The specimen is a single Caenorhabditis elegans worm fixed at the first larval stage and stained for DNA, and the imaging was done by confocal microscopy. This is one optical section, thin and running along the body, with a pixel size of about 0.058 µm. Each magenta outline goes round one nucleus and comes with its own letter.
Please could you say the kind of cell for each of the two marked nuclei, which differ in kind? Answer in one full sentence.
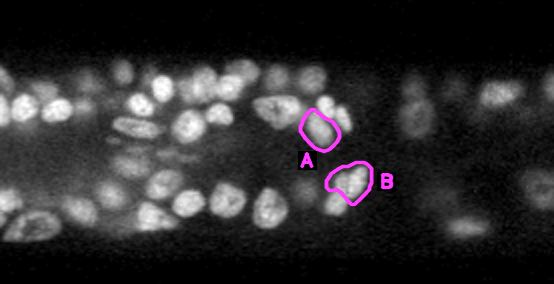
B belongs to a valve cell of the gut, and A to a pharyngeal muscle cell.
